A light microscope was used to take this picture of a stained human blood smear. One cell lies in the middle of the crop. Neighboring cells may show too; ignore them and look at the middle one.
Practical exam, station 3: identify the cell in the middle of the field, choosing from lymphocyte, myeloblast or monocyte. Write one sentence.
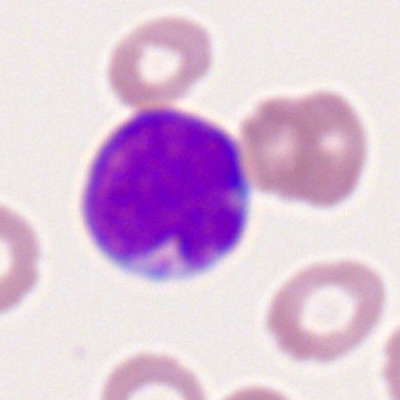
The cell in the exact centre of the crop is a myeloblast.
